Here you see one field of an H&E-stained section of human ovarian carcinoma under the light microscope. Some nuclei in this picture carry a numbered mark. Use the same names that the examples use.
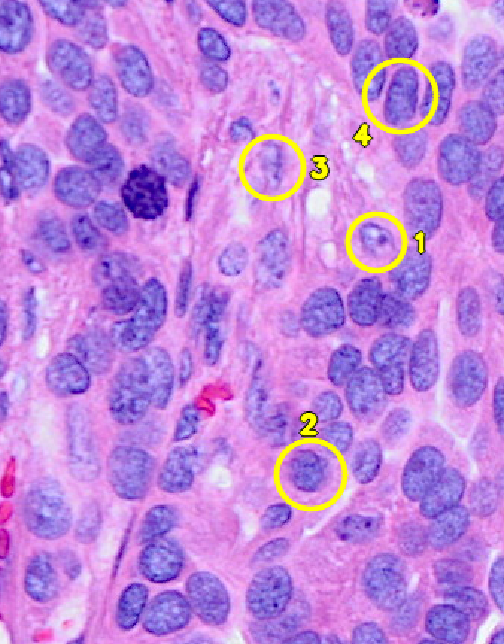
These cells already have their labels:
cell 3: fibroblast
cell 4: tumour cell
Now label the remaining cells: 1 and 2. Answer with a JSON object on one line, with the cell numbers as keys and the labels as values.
{"1": "fibroblast", "2": "tumour cell"}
